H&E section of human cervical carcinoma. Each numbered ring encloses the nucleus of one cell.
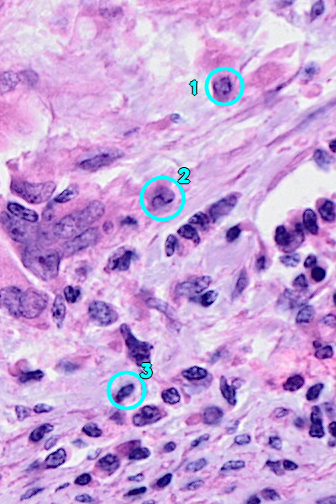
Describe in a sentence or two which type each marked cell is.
Cell 1 is a macrophage or monocyte, cell 2 is a macrophage or monocyte and cell 3 is a lymphocyte.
